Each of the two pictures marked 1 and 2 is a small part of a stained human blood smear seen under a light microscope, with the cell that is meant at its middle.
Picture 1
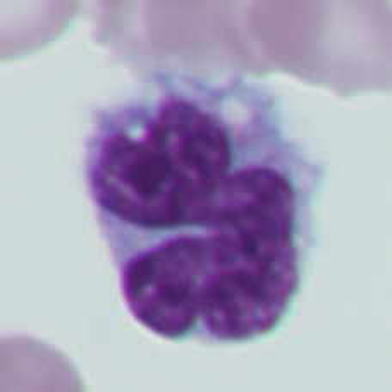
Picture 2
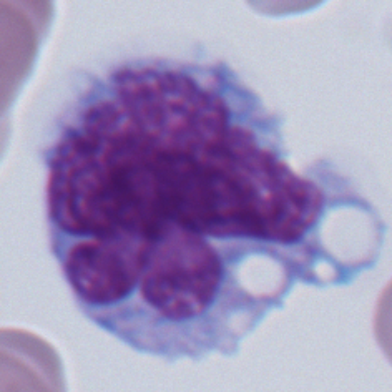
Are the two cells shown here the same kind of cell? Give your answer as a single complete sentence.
Yes; the cells in both pictures are monocytes.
